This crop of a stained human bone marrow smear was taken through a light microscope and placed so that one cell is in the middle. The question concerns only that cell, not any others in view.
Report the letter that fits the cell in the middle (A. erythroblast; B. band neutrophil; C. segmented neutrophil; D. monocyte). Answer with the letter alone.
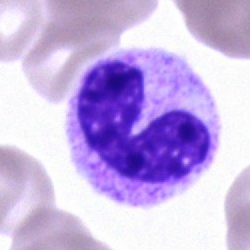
B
